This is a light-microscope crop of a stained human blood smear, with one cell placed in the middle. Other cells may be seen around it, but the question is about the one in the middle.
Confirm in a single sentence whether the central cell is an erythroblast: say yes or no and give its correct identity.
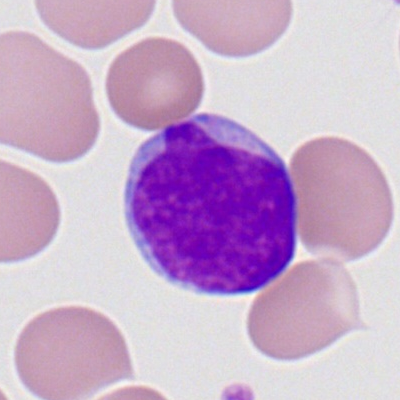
No, the middle one is a myeloblast rather than an erythroblast.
